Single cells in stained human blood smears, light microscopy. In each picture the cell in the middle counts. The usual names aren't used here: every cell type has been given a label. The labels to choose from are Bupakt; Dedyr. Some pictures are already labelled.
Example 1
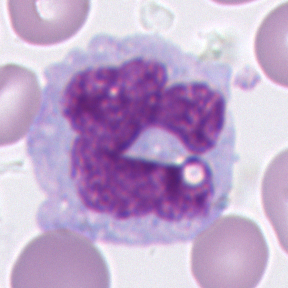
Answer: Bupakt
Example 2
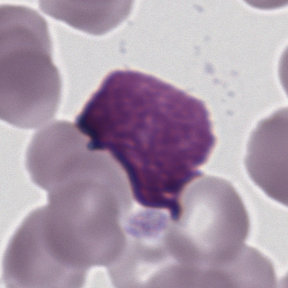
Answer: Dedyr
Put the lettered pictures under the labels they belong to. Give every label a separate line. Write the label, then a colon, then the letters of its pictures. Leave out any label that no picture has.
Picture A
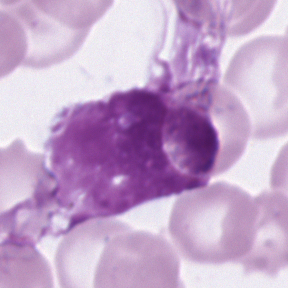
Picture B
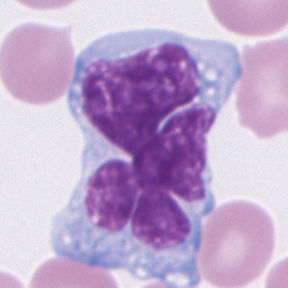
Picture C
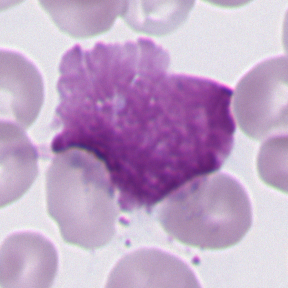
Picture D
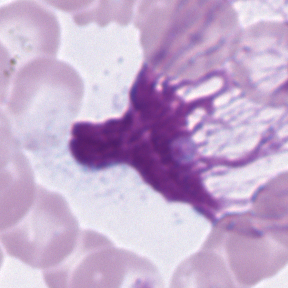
Bupakt: B
Dedyr: A, C, D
